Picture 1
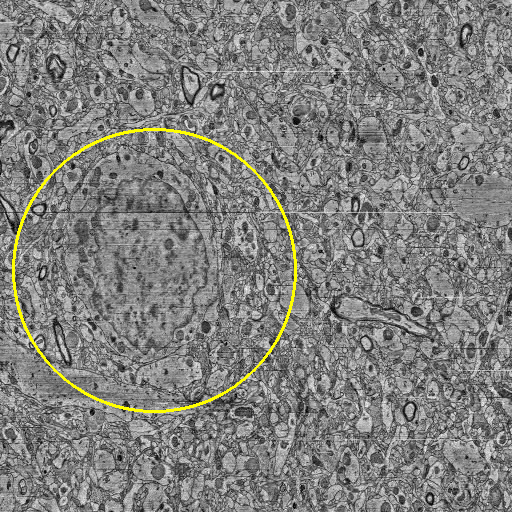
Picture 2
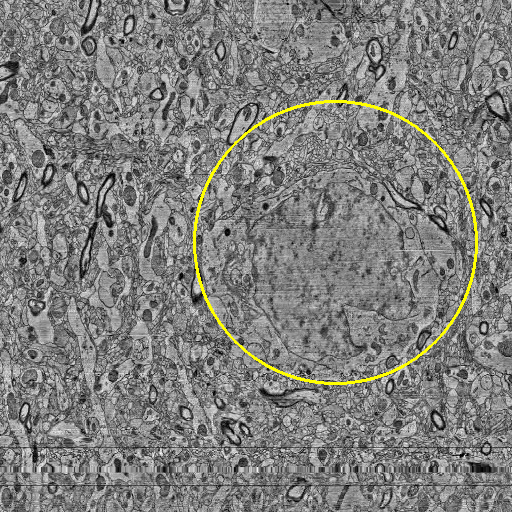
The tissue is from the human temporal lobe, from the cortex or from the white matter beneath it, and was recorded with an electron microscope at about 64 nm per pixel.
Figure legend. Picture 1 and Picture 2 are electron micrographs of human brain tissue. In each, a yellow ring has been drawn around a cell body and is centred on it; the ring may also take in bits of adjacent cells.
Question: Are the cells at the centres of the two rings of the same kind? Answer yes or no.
yes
